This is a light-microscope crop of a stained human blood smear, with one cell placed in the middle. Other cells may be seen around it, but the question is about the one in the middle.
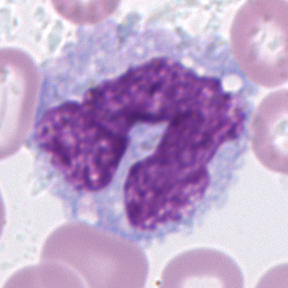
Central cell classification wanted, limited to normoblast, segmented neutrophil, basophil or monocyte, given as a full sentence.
In the middle of this smear crop, the cell is a monocyte.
